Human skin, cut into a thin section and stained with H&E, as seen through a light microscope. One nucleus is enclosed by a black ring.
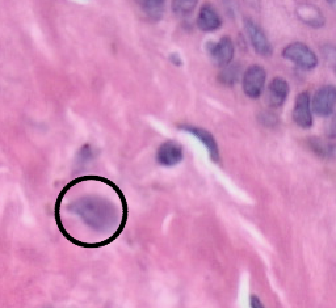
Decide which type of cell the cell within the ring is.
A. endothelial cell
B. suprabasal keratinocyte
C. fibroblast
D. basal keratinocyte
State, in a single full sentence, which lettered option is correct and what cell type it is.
Since the cell within the ring is a fibroblast, option C is correct.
